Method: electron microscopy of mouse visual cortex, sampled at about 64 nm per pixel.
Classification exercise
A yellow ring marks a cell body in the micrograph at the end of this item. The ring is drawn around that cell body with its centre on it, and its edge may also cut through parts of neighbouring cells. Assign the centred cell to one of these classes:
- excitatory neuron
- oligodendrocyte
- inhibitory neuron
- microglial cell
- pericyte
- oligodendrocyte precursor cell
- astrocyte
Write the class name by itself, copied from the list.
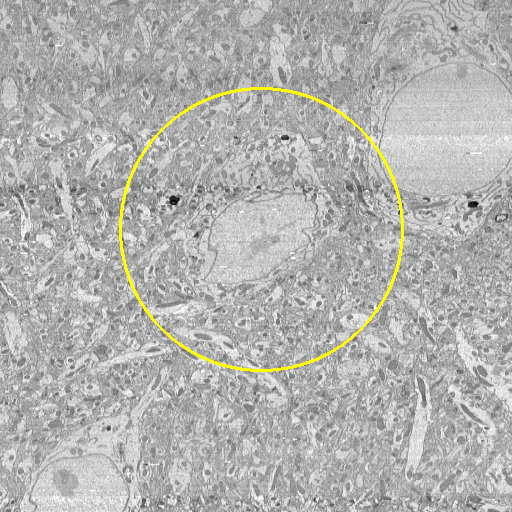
inhibitory neuron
